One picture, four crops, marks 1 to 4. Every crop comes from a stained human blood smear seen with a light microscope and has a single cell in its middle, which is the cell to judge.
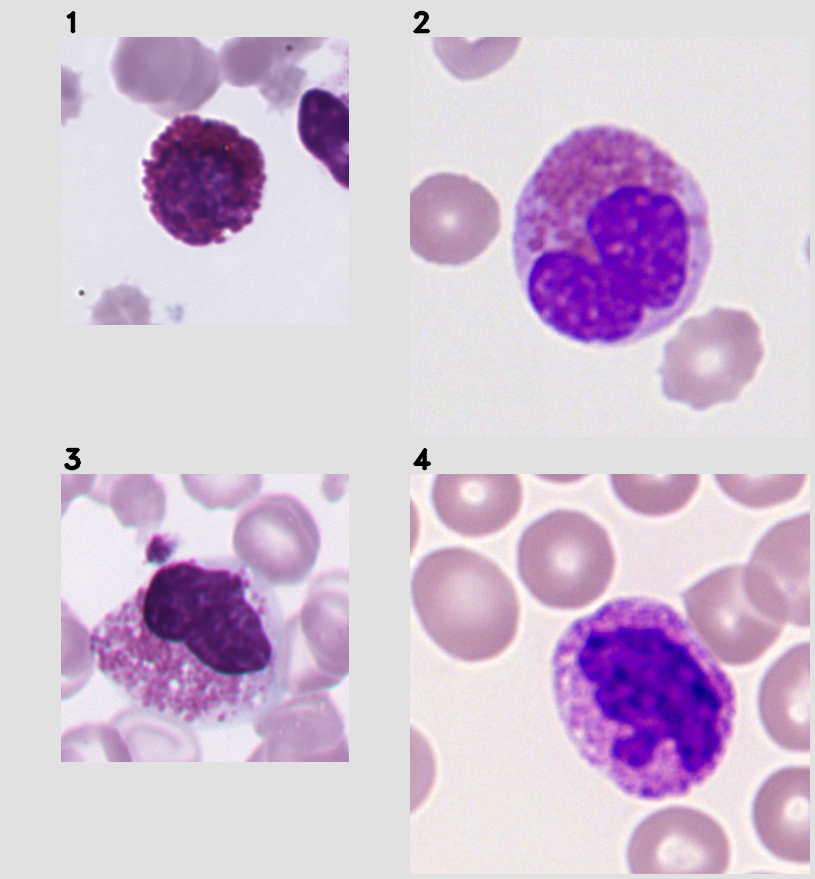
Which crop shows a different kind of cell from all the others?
4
